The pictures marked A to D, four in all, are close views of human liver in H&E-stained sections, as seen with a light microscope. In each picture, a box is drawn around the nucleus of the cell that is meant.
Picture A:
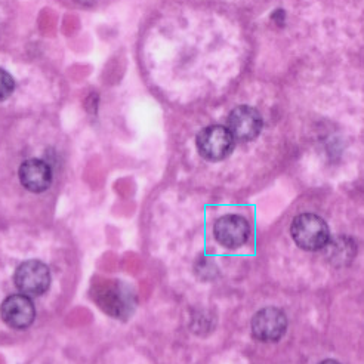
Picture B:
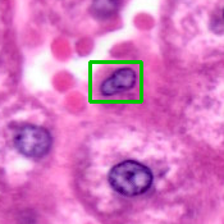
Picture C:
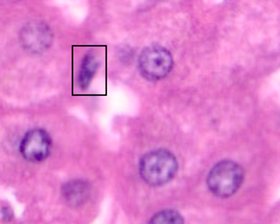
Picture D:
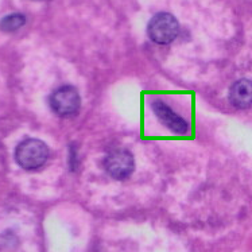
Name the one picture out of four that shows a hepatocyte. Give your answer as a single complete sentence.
Picture A shows the hepatocyte.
